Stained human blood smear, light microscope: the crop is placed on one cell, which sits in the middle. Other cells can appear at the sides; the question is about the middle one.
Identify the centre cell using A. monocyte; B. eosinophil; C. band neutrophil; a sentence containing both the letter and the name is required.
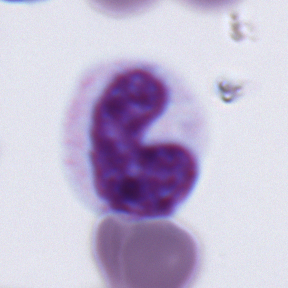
Correctly, option C names the cell in the middle a band neutrophil.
